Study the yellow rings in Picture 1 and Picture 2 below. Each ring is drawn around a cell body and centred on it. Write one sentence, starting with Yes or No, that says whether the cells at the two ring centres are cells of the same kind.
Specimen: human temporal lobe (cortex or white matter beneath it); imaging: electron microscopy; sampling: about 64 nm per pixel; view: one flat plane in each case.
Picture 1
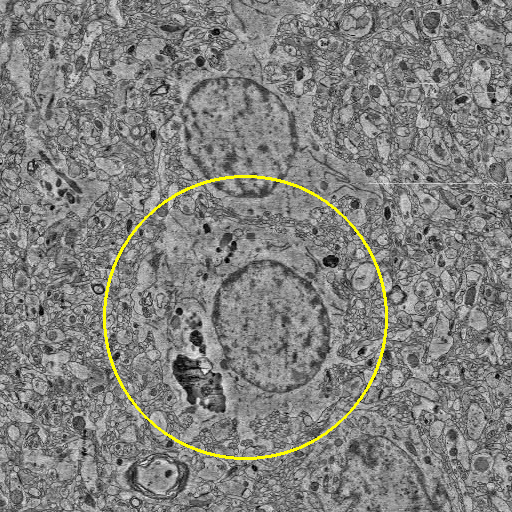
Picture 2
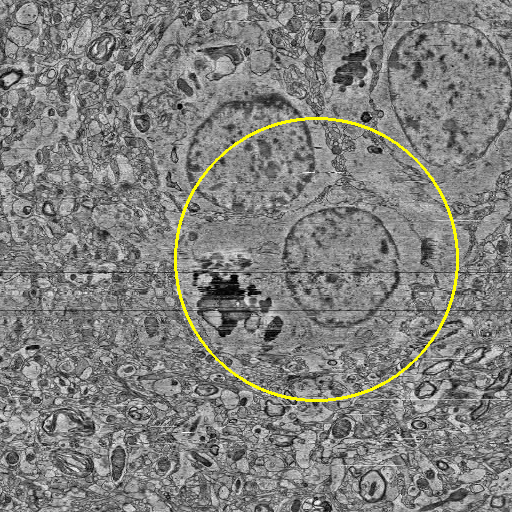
Yes, the cells at both ring centres are of the same kind.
